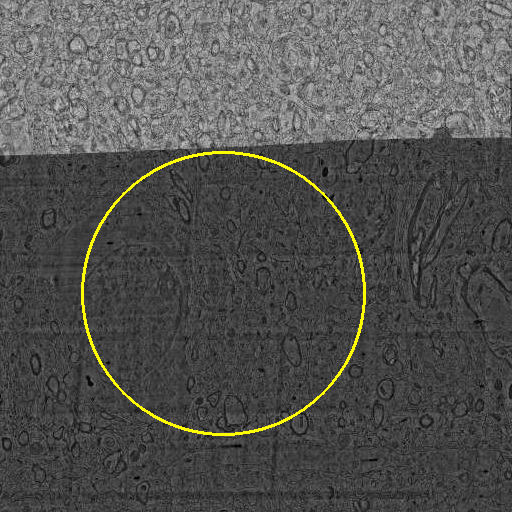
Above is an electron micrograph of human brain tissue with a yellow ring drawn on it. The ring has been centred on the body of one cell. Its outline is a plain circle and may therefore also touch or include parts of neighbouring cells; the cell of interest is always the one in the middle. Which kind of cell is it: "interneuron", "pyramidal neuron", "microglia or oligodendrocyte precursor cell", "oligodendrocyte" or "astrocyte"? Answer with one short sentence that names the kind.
The ring's central cell body is that of an astrocyte.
